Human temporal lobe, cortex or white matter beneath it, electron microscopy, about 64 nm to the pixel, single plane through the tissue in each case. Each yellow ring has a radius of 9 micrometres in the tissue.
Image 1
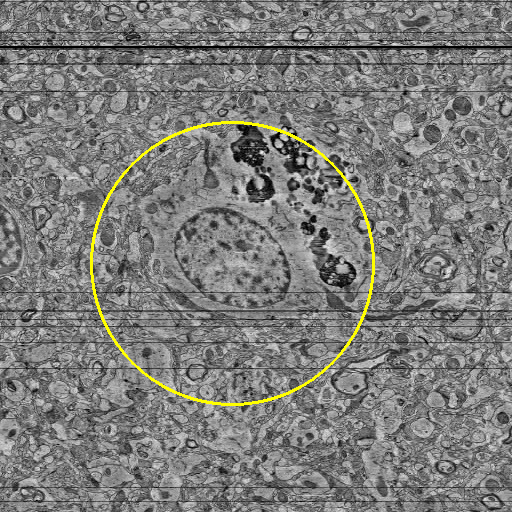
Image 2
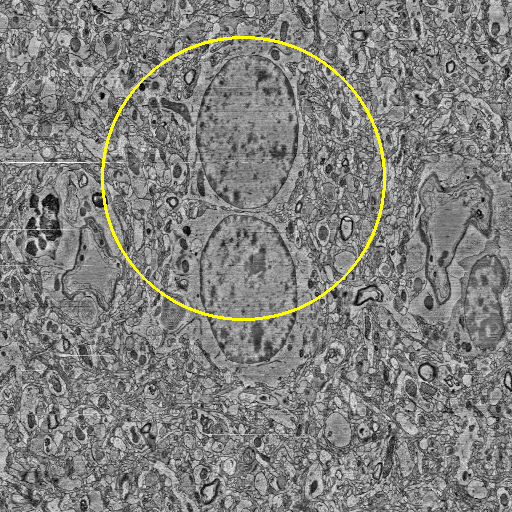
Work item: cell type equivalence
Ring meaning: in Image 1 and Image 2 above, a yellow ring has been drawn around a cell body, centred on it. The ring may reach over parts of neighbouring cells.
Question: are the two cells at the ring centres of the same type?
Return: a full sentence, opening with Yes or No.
Yes, the two centred cells are of the same type.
